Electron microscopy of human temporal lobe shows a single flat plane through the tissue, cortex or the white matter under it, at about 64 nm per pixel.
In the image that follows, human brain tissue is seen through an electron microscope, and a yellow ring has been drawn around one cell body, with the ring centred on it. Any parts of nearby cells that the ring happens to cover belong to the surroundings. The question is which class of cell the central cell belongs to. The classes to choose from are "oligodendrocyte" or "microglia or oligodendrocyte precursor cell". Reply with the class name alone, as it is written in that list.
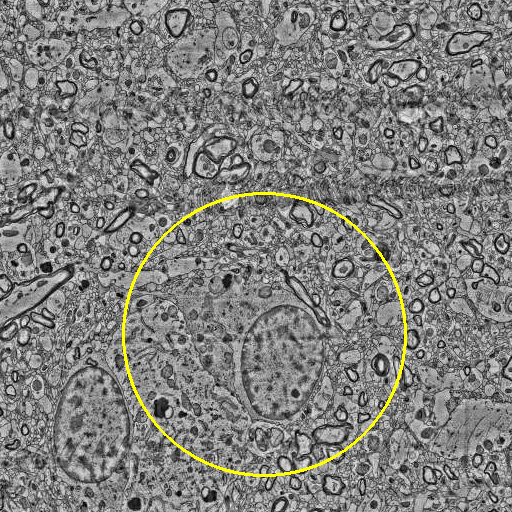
oligodendrocyte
